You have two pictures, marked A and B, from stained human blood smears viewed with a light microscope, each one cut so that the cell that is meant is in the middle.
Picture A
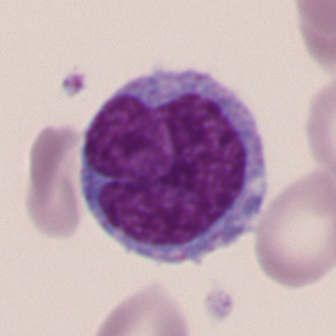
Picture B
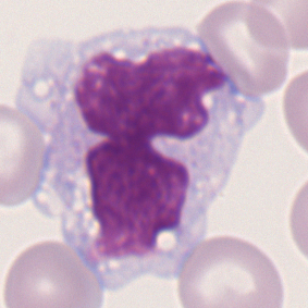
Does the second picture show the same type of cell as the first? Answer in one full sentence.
Yes, both cells are monocytes.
